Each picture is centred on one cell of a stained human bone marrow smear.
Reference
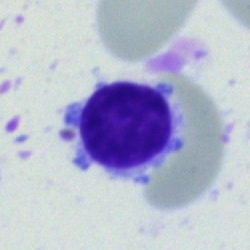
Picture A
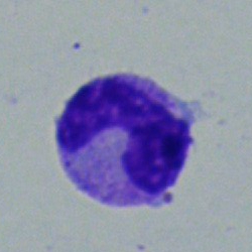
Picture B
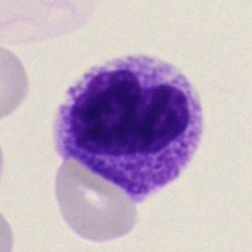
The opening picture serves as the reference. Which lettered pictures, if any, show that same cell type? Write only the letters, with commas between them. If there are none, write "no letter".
no letter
